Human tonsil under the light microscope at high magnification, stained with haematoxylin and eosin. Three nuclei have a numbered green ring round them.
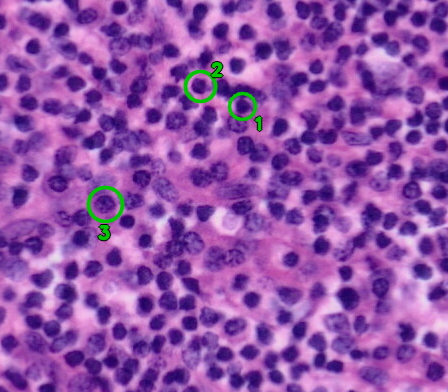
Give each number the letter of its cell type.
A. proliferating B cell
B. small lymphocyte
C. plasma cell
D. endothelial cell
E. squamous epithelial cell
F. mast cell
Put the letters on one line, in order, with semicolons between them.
B; B; C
